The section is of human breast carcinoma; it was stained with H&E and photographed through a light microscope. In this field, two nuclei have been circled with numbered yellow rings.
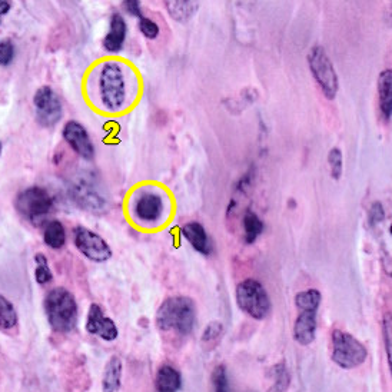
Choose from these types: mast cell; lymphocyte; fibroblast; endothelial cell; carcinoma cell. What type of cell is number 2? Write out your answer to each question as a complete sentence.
Cell 2 in the field is a mast cell.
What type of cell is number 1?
Cell 1, as marked in the section, is a lymphocyte.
